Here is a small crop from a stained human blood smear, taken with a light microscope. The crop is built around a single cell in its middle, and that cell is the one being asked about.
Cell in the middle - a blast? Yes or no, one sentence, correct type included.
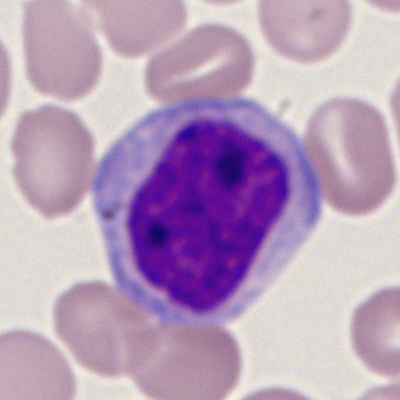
No, wrong label: the middle cell is a monocyte instead of a blast.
